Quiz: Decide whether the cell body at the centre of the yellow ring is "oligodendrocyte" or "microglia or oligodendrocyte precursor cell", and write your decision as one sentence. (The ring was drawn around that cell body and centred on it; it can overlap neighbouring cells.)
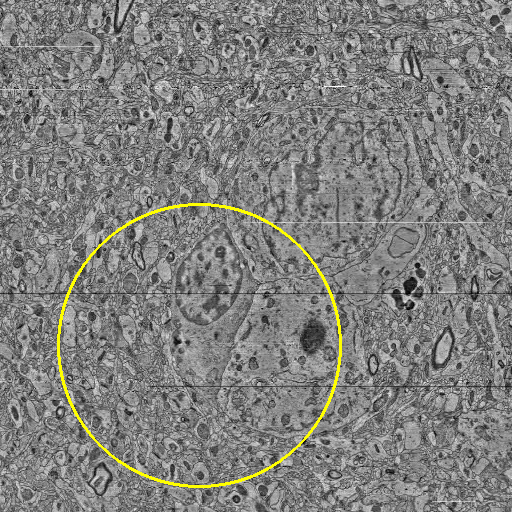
The cell the ring is centred on is an oligodendrocyte.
